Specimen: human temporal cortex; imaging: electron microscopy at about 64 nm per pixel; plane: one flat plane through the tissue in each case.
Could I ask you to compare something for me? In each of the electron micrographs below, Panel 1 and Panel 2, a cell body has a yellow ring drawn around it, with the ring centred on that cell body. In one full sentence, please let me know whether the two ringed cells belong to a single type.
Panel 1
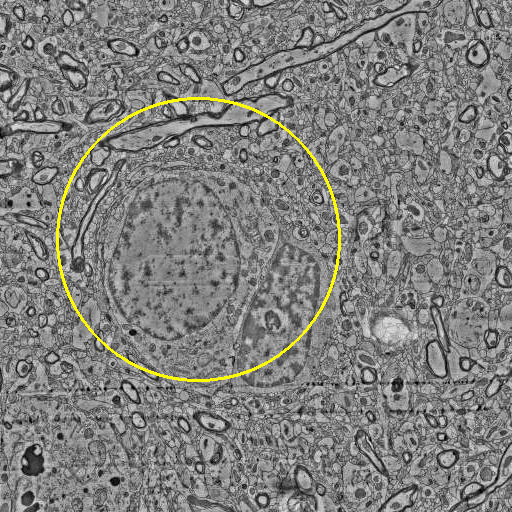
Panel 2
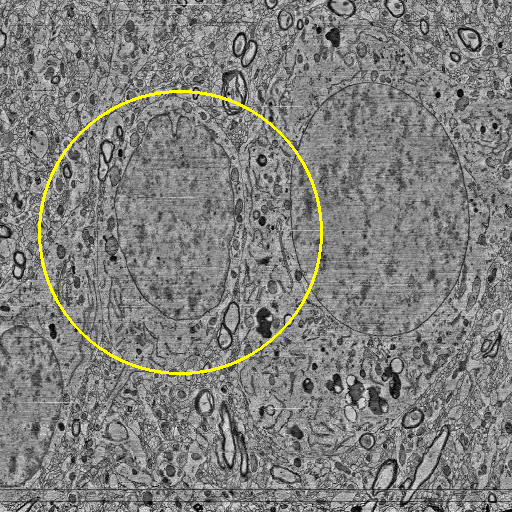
No, the two cells at the centres of the rings are of two types.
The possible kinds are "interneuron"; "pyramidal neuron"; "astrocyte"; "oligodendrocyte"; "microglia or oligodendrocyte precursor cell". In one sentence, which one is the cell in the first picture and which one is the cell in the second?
The cell ringed in the second picture is a pyramidal neuron, whereas the one ringed in the first is an interneuron.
